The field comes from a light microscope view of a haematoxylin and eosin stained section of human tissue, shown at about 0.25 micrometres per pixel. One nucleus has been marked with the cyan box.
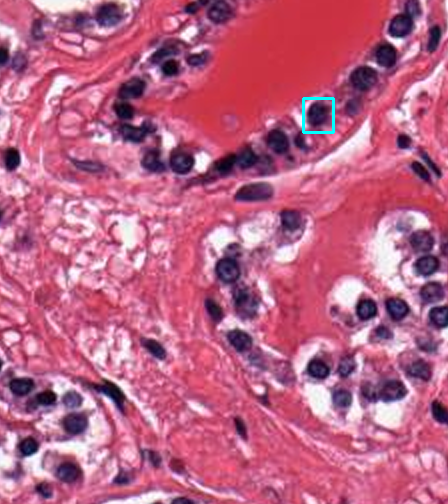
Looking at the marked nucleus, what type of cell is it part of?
thyroid follicular cell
